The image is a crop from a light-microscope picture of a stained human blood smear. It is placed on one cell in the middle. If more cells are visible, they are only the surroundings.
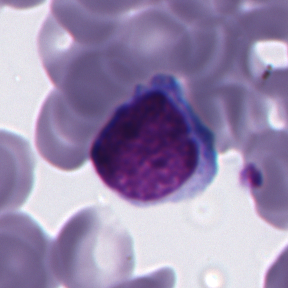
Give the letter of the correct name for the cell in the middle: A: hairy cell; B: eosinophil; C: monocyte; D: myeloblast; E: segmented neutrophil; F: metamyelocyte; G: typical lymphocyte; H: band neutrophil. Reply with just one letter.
G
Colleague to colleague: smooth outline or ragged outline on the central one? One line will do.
A ragged or projecting edge replaces the smooth outline in this cell.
